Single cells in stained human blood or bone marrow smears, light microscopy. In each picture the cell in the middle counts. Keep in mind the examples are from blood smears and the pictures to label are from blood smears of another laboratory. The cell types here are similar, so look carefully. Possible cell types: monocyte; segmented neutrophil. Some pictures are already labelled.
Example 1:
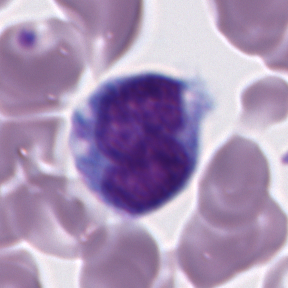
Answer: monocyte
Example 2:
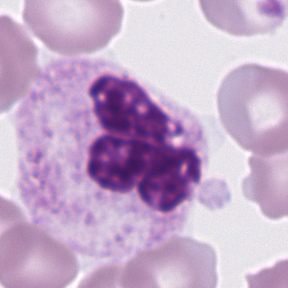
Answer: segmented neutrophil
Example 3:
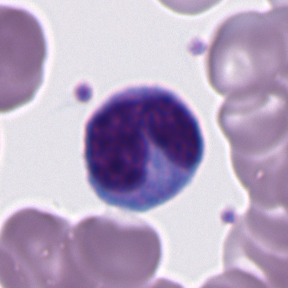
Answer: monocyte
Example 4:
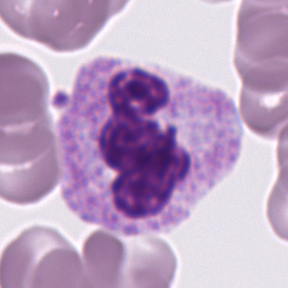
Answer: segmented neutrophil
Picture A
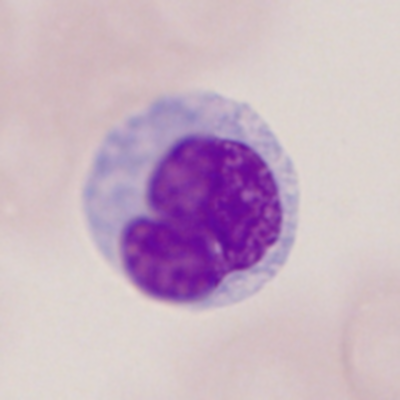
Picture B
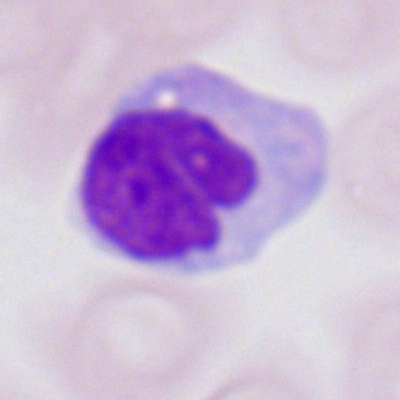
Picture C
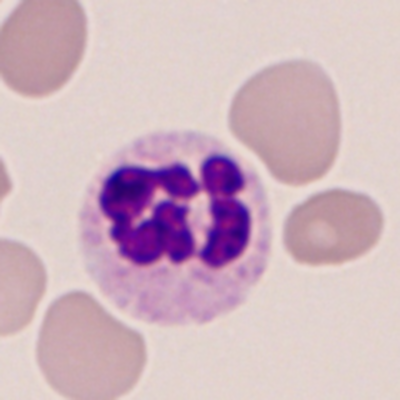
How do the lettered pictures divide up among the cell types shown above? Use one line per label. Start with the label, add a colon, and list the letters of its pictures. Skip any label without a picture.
monocyte: A, B
segmented neutrophil: C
